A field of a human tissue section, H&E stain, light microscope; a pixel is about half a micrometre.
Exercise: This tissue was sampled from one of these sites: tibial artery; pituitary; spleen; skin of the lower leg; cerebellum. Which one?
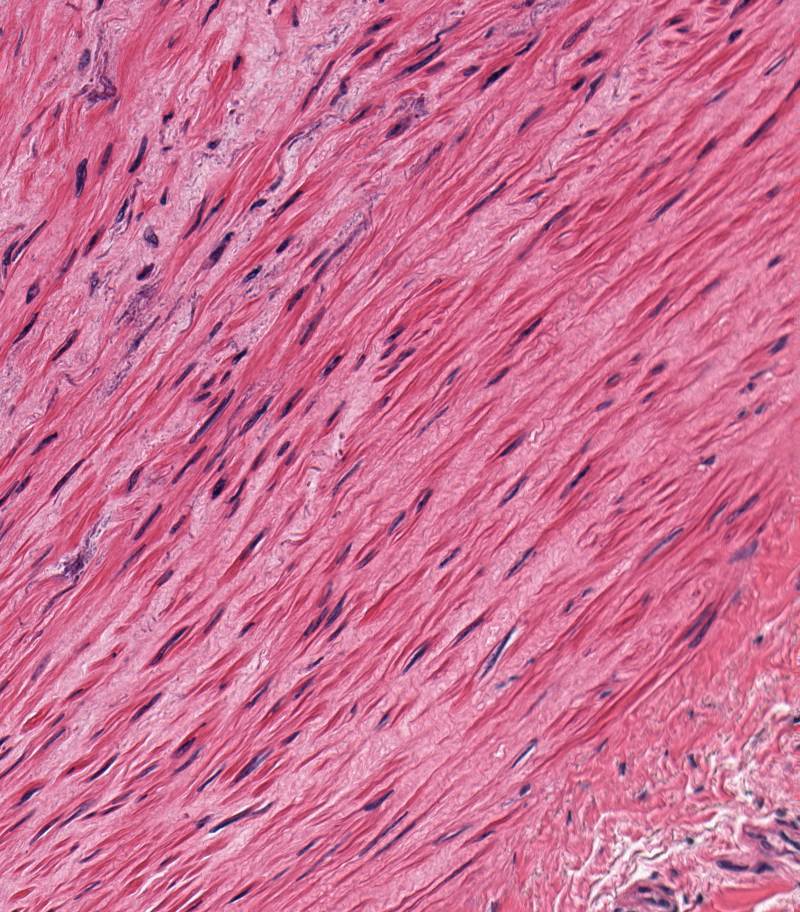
tibial artery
